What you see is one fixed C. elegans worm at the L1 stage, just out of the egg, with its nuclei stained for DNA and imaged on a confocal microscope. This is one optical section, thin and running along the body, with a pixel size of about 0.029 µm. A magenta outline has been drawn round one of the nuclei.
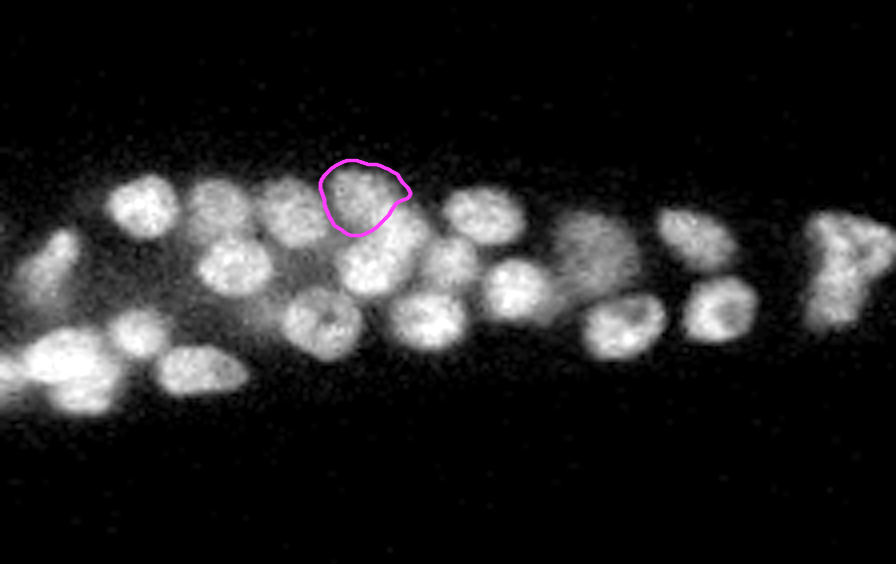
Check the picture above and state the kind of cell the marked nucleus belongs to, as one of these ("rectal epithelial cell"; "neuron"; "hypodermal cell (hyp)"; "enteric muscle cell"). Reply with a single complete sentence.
This is the nucleus of an enteric muscle cell.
